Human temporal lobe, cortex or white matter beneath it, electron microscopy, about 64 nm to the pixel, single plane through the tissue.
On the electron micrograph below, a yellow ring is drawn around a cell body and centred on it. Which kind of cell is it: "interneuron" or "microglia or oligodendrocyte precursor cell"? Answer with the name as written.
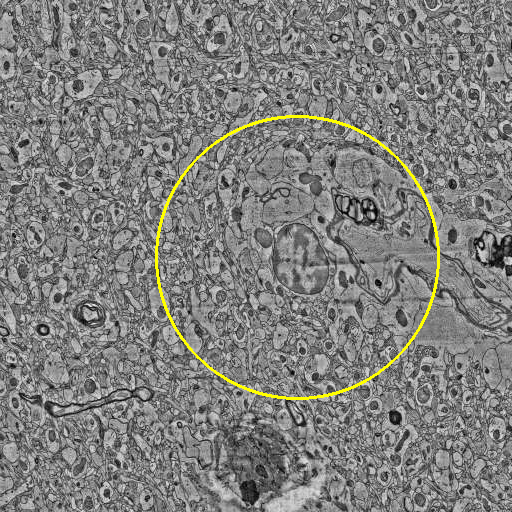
microglia or oligodendrocyte precursor cell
